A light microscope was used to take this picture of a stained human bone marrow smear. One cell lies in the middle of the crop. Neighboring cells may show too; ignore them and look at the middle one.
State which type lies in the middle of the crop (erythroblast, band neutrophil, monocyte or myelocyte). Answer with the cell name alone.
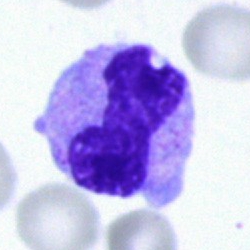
band neutrophil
